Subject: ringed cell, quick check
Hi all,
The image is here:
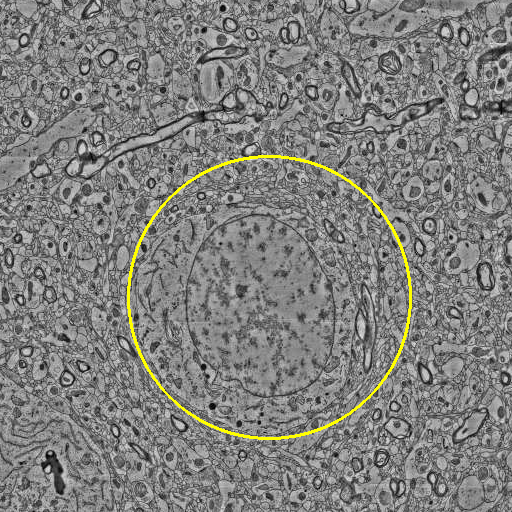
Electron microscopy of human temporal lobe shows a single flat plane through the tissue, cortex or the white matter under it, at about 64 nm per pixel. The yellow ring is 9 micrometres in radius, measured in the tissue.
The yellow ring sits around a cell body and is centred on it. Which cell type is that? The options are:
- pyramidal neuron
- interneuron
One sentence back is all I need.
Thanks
That ringed cell is a pyramidal neuron.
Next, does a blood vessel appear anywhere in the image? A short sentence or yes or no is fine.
No, none appears.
